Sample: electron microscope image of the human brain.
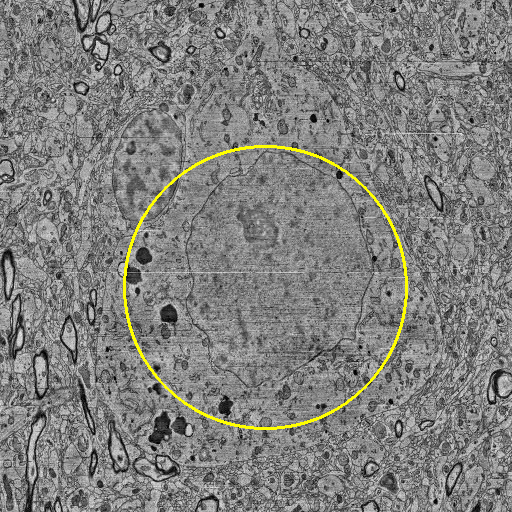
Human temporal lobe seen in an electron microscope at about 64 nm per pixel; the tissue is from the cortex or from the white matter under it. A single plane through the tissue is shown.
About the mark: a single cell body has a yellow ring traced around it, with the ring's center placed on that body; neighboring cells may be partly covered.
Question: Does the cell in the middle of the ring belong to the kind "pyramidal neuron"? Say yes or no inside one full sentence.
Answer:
Yes, the cell at the ring's center in this image belongs to that kind.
